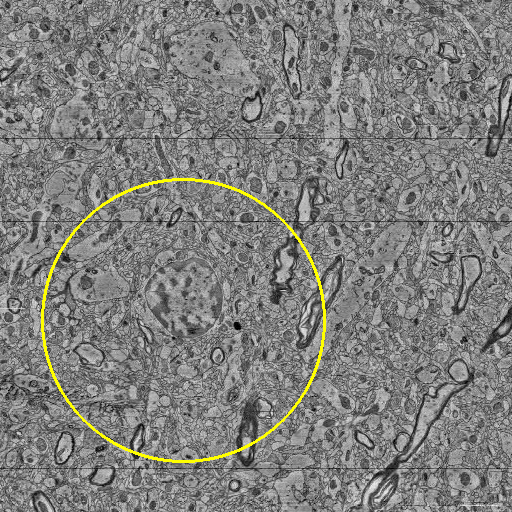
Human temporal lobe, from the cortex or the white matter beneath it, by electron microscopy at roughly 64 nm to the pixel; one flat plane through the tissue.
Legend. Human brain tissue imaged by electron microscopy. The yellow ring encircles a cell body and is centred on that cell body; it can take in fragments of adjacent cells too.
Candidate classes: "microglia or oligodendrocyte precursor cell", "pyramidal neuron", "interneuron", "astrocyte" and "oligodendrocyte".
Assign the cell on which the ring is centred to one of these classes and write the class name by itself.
microglia or oligodendrocyte precursor cell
